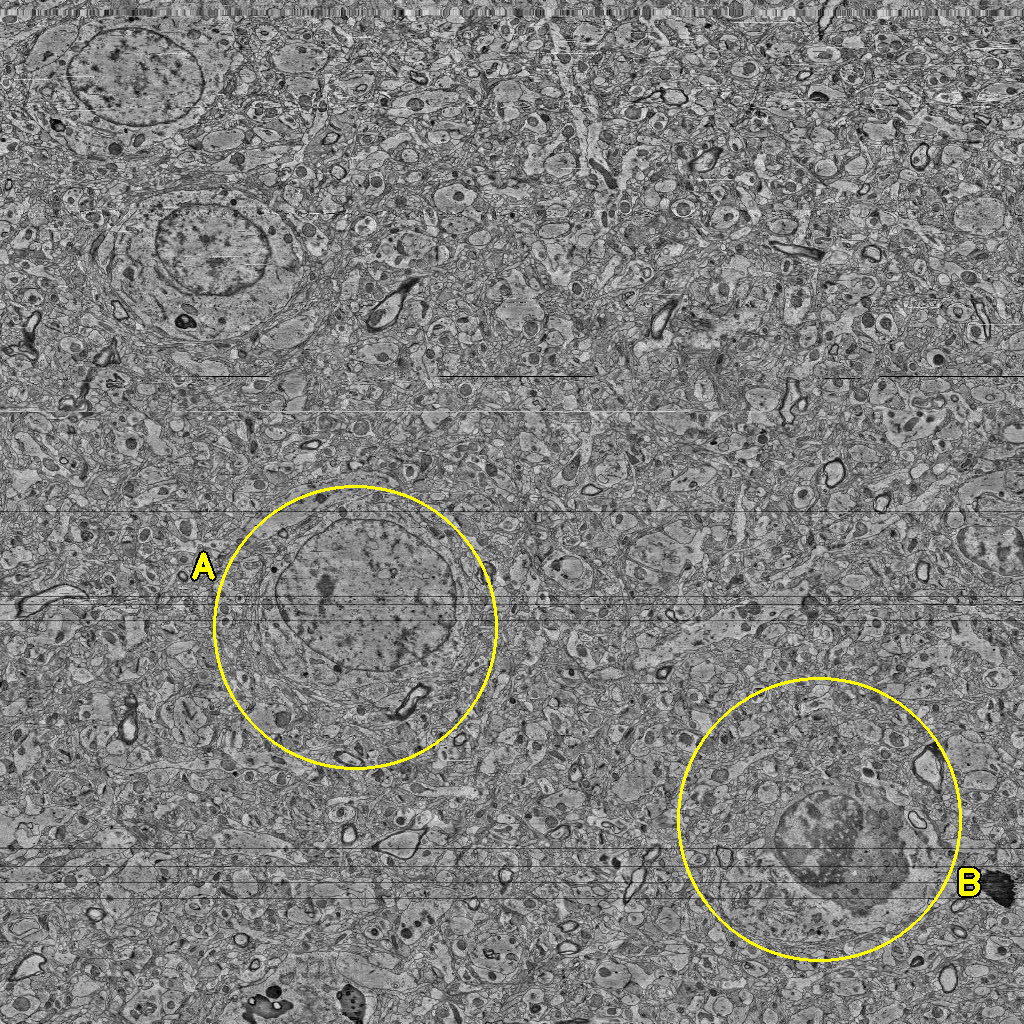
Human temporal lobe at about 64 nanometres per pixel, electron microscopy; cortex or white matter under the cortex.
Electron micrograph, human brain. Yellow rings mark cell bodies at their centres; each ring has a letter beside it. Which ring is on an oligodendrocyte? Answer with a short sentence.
Ring B is centred on it.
